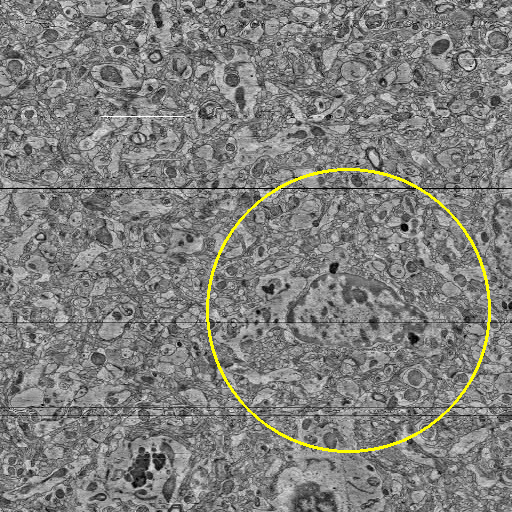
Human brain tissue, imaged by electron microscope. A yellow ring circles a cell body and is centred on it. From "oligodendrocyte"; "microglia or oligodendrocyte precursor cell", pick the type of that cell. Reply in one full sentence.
The cell body at the centre of the yellow ring belongs to a microglial cell or oligodendrocyte precursor cell.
